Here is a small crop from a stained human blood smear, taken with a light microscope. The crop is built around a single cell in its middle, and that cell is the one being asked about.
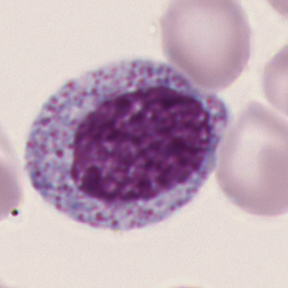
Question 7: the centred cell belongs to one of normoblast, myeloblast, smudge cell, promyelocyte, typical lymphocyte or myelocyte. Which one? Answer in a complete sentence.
The cell sitting right in the middle is a promyelocyte.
